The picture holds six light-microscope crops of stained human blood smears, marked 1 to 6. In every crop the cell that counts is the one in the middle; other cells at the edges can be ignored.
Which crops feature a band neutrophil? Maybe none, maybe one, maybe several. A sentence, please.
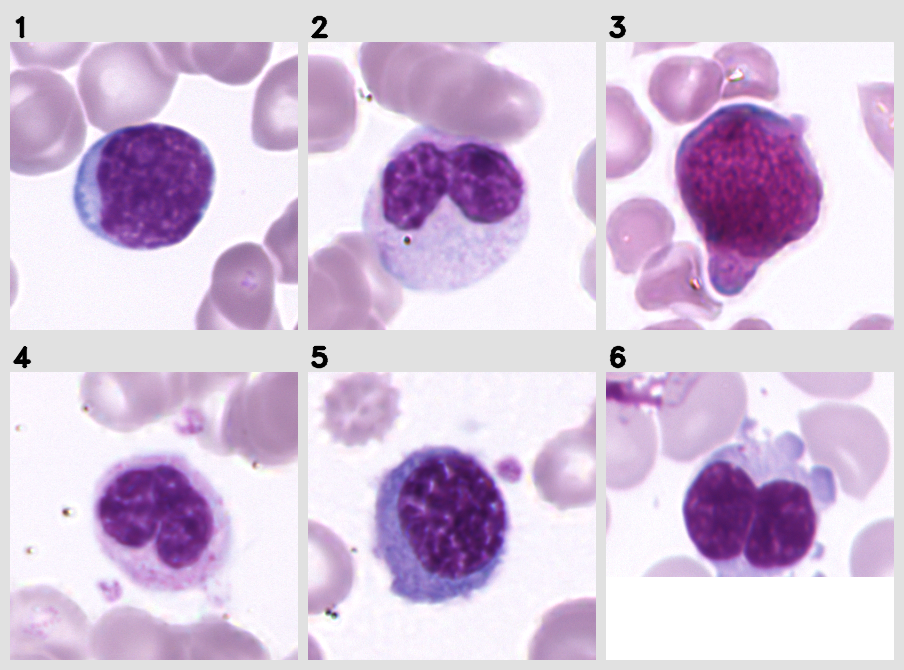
Crops 2 and 4 have band neutrophils sitting at their centres.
